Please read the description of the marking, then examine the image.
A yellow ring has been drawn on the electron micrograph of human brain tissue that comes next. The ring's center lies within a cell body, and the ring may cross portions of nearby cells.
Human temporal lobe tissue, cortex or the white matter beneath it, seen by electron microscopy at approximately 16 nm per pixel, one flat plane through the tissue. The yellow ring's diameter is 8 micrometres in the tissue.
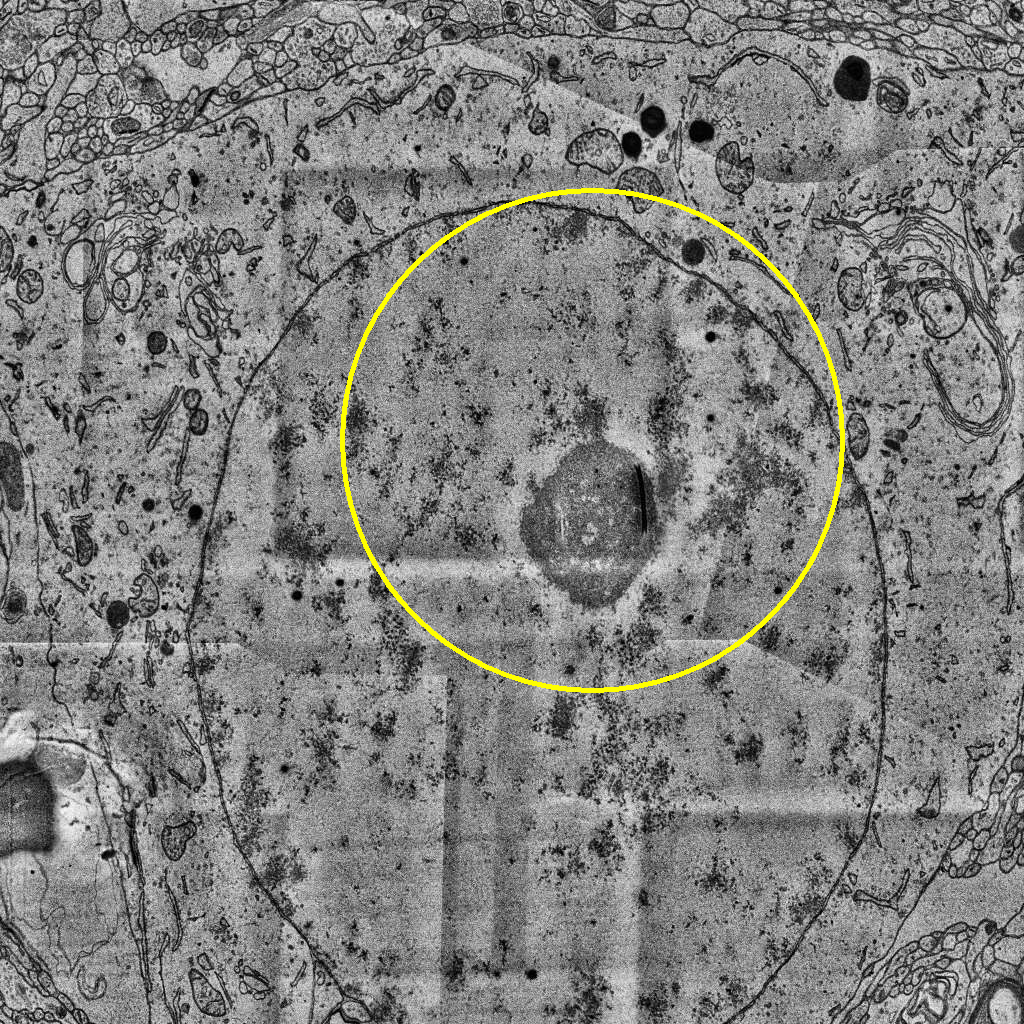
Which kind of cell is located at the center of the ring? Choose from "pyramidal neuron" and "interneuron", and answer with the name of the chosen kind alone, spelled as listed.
pyramidal neuron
